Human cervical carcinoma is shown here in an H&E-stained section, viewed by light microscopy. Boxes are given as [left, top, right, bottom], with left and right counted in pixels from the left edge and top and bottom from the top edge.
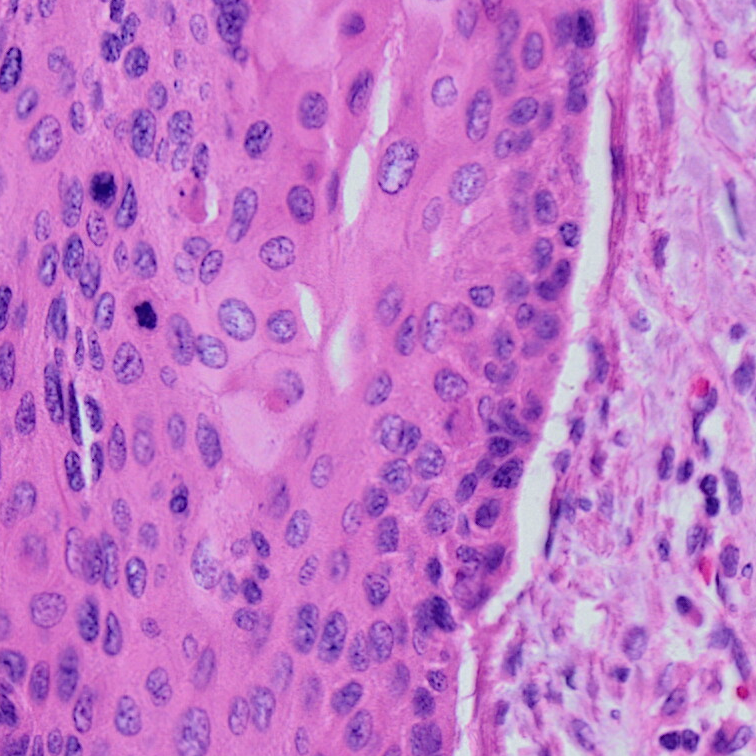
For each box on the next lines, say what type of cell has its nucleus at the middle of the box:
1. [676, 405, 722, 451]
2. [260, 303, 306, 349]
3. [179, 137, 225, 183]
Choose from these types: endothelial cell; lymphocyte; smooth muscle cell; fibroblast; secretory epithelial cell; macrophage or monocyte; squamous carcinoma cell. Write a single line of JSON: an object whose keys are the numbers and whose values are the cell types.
{"1": "endothelial cell", "2": "squamous carcinoma cell", "3": "squamous carcinoma cell"}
